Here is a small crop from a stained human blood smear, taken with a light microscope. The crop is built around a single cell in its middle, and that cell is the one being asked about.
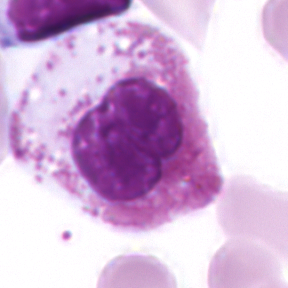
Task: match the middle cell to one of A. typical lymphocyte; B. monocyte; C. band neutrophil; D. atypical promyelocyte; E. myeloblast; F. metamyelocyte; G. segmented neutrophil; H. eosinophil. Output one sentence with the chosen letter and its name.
The cell in the middle is correctly identified as an eosinophil in option H.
